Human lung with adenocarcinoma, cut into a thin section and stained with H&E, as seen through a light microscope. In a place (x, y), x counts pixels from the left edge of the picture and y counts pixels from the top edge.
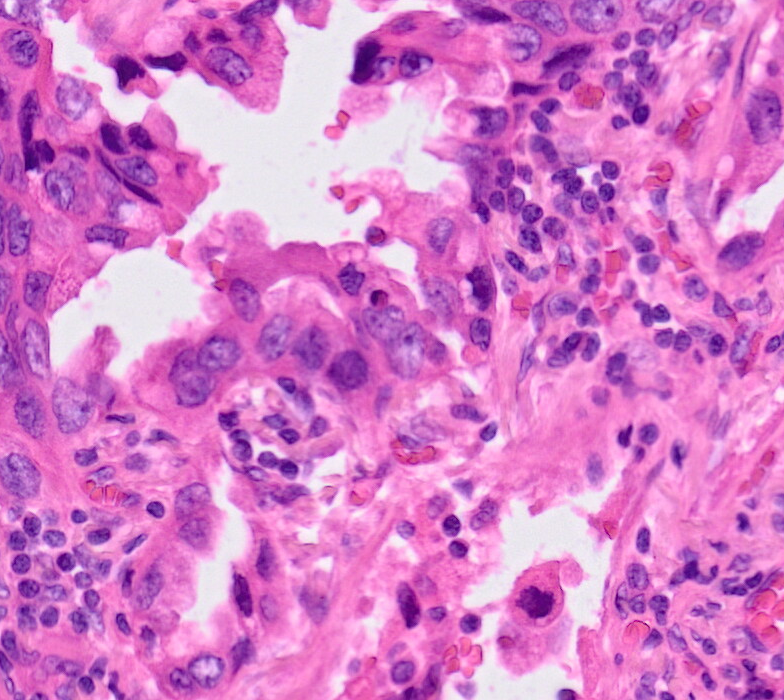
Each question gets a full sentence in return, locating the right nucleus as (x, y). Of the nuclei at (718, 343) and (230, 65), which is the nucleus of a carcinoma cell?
The nucleus located at (230, 65) is the one held within a carcinoma cell.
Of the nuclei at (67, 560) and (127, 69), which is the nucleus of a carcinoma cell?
The nucleus positioned at (127, 69) forms part of a carcinoma cell.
